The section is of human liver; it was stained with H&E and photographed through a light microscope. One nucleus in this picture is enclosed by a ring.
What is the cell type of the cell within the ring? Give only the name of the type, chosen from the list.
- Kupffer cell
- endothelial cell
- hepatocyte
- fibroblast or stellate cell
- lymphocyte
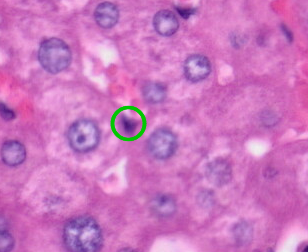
fibroblast or stellate cell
